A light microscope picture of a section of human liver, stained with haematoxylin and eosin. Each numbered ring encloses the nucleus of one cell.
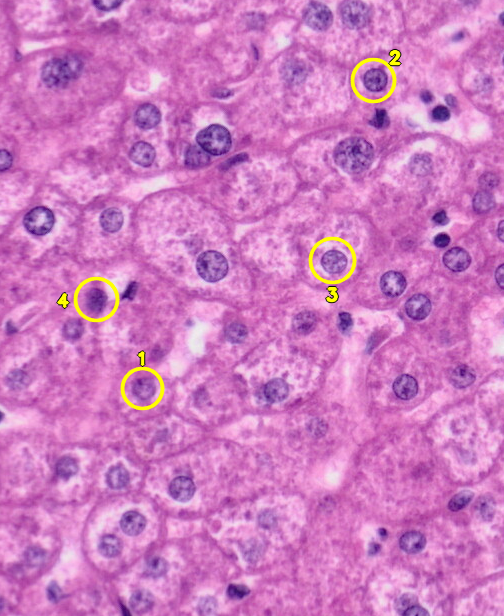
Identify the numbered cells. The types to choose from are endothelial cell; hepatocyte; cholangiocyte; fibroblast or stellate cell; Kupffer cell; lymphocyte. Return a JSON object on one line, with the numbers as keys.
{"1": "hepatocyte", "2": "hepatocyte", "3": "hepatocyte", "4": "endothelial cell"}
